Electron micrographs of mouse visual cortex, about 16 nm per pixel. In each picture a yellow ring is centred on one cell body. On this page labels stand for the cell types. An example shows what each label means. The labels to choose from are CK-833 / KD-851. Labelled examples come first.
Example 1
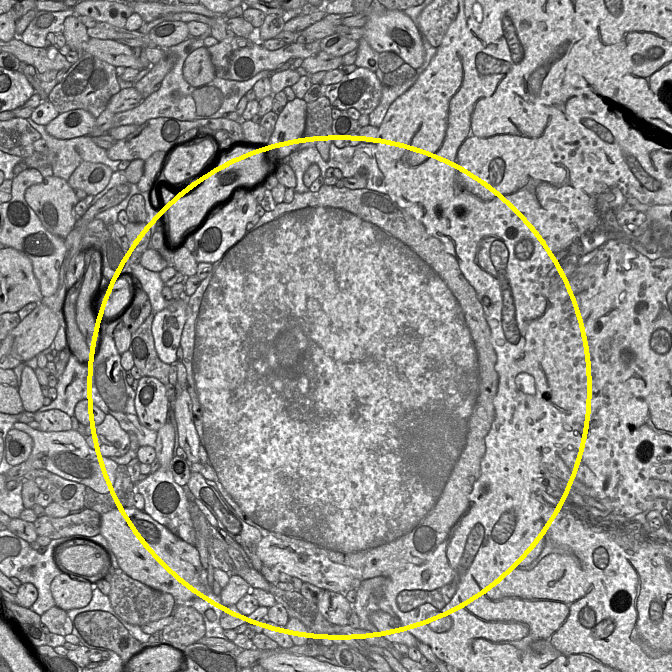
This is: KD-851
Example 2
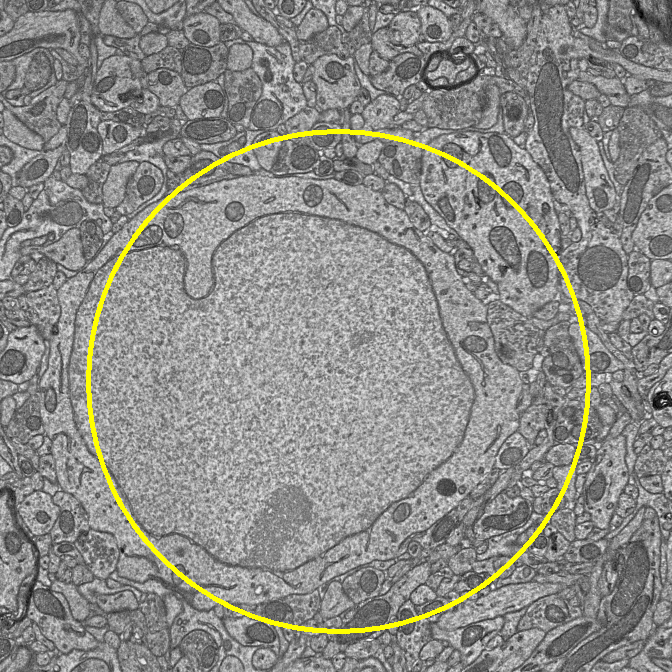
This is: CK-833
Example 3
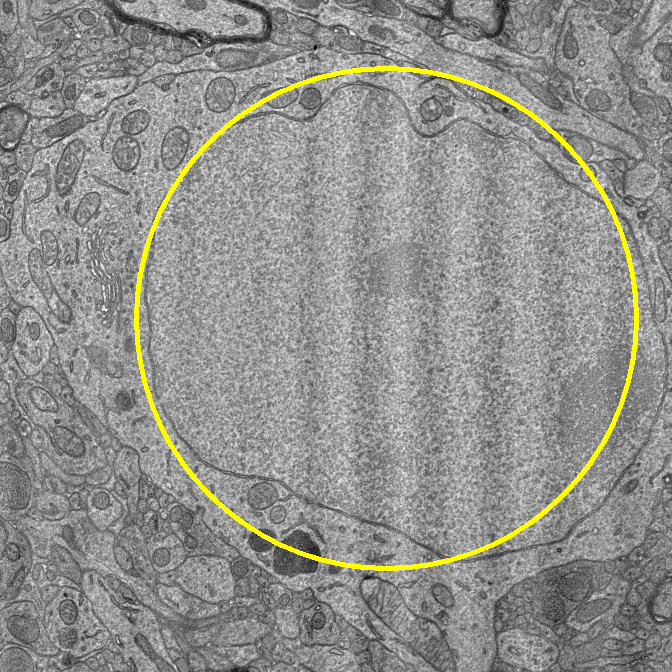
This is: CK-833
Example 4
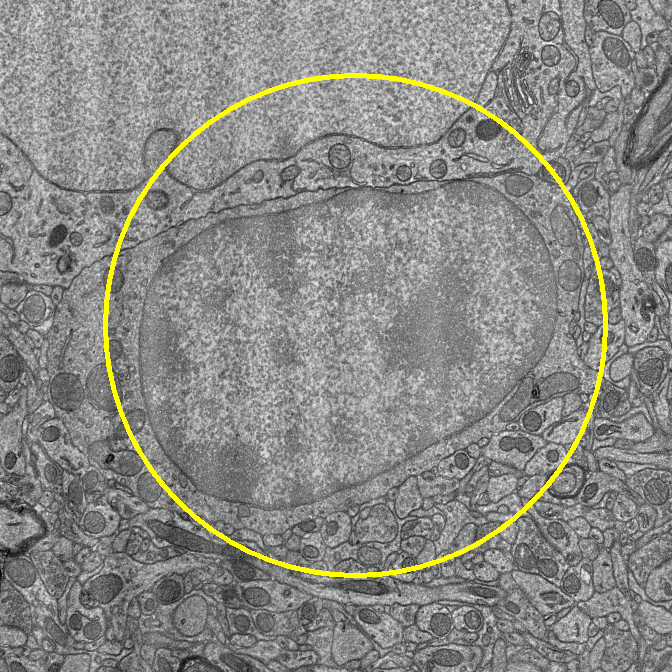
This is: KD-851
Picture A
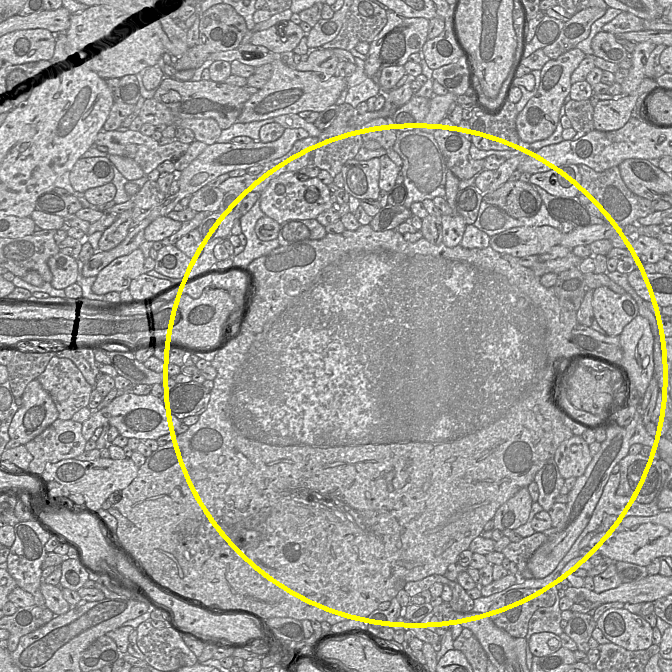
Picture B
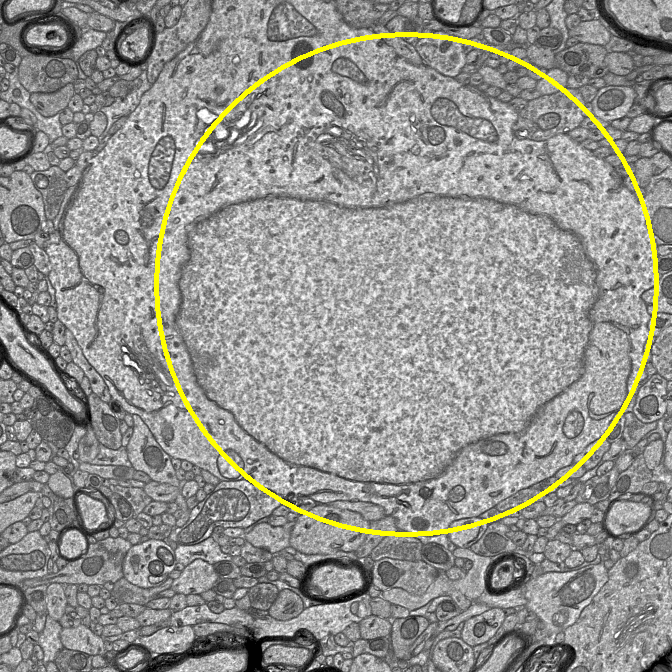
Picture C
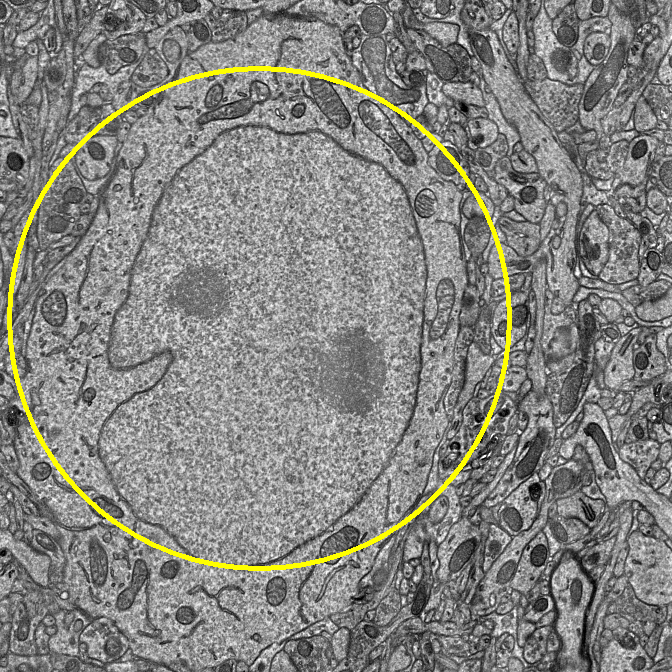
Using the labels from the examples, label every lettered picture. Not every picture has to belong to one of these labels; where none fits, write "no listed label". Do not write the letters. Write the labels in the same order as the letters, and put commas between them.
KD-851, CK-833, CK-833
